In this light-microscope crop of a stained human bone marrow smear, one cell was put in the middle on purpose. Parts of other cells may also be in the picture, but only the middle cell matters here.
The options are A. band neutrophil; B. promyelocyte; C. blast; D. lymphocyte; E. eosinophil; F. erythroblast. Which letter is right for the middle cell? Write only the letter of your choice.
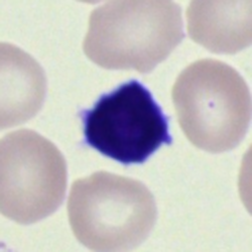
D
